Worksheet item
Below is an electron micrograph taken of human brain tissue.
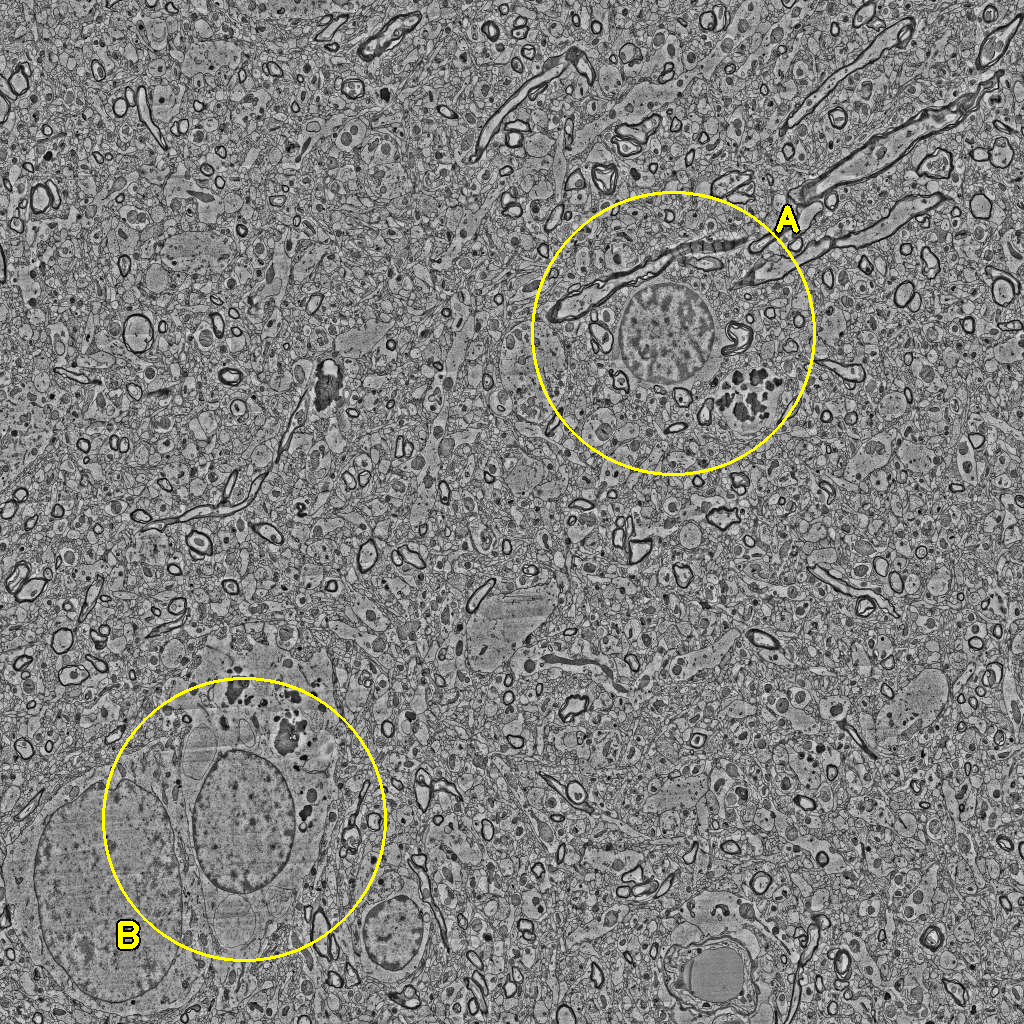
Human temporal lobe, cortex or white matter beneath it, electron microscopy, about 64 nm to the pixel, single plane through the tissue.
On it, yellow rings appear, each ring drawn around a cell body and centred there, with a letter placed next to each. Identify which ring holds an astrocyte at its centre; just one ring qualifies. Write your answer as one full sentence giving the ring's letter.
Ring B has the cell asked for right at its centre in the picture.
